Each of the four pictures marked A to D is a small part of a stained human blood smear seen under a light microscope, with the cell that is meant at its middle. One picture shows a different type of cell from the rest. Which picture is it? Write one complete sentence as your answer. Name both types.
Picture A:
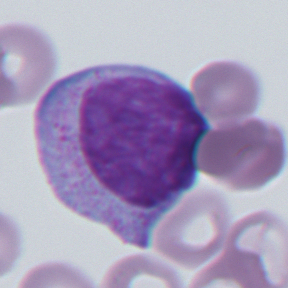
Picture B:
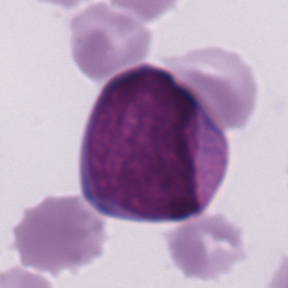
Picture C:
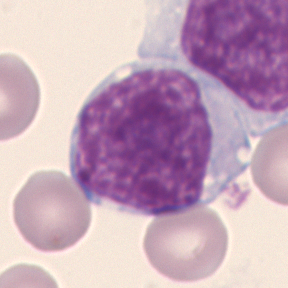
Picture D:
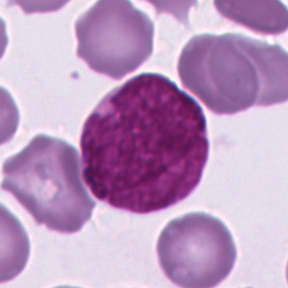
Picture A differs, because its cell is an atypical promyelocyte and the rest are myeloblasts.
